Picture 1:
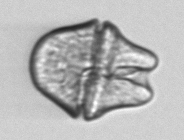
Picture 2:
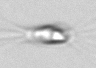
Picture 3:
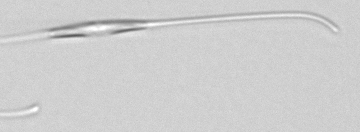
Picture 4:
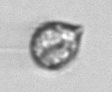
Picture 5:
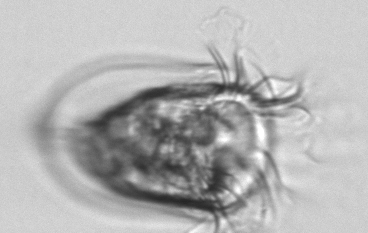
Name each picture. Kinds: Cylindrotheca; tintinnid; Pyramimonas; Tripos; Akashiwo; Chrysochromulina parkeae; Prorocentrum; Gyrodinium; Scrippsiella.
(1) Akashiwo
(2) Chrysochromulina parkeae
(3) Cylindrotheca
(4) Scrippsiella
(5) tintinnid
